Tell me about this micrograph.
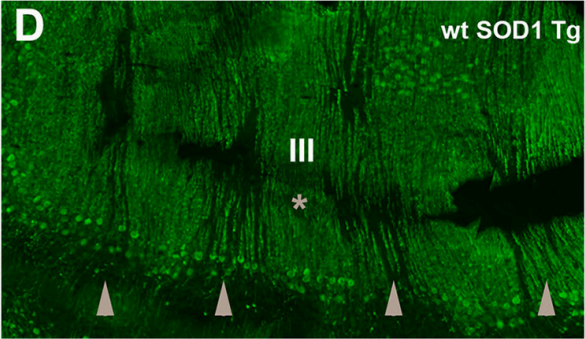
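This is cerebellar cortex, with Purkinje cells labelled green. The labelling is uneven, with darker bands where cell bodies and dendrites are faint or missing.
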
